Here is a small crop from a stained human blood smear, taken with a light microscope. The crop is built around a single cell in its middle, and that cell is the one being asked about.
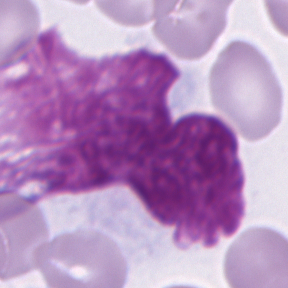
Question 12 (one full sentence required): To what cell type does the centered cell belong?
This crop has a smudge cell at its centre.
